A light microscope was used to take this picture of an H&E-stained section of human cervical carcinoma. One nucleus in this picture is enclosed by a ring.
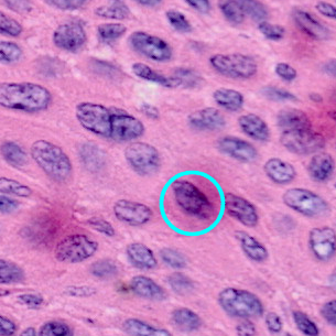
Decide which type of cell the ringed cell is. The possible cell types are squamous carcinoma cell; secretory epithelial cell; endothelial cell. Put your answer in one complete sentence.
The cell meant here is a squamous carcinoma cell.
